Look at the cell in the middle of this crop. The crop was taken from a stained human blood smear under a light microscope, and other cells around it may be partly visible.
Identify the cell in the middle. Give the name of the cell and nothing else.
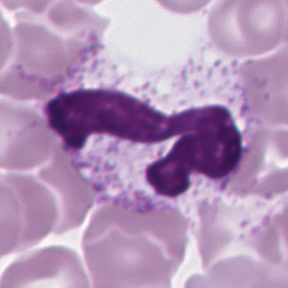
segmented neutrophil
